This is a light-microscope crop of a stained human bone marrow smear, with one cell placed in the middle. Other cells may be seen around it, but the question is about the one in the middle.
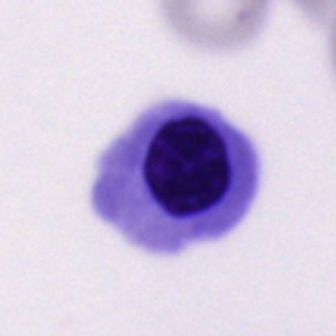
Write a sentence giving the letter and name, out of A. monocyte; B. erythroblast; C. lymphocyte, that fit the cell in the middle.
Option B is to be chosen, as the central cell is an erythroblast.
